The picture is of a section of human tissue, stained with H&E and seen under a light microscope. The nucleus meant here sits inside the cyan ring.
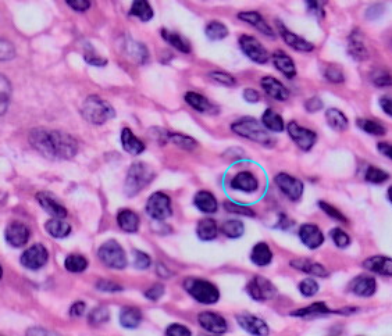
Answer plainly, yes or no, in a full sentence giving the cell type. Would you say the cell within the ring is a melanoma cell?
No, the cell within the ring is a lymphocyte; it is not a melanoma cell.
